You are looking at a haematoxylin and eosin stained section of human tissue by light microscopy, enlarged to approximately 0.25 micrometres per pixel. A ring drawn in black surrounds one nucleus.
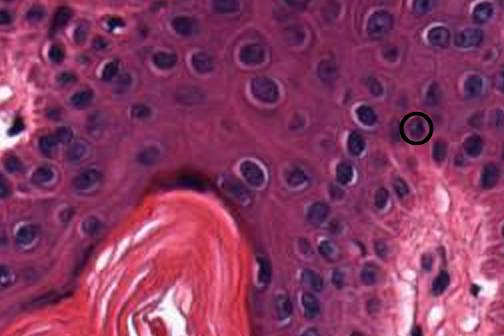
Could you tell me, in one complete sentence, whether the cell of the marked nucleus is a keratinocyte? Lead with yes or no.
Yes, the marked nucleus is one belonging to a keratinocyte.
